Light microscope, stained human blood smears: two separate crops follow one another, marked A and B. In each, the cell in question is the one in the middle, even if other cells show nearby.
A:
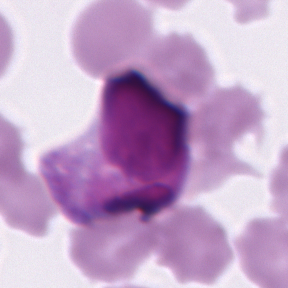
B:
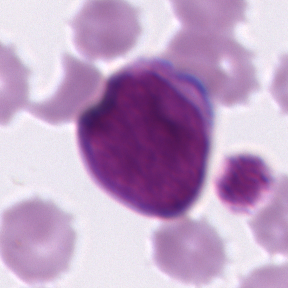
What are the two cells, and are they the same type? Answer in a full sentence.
Yes, both crops are centred on myeloblasts.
